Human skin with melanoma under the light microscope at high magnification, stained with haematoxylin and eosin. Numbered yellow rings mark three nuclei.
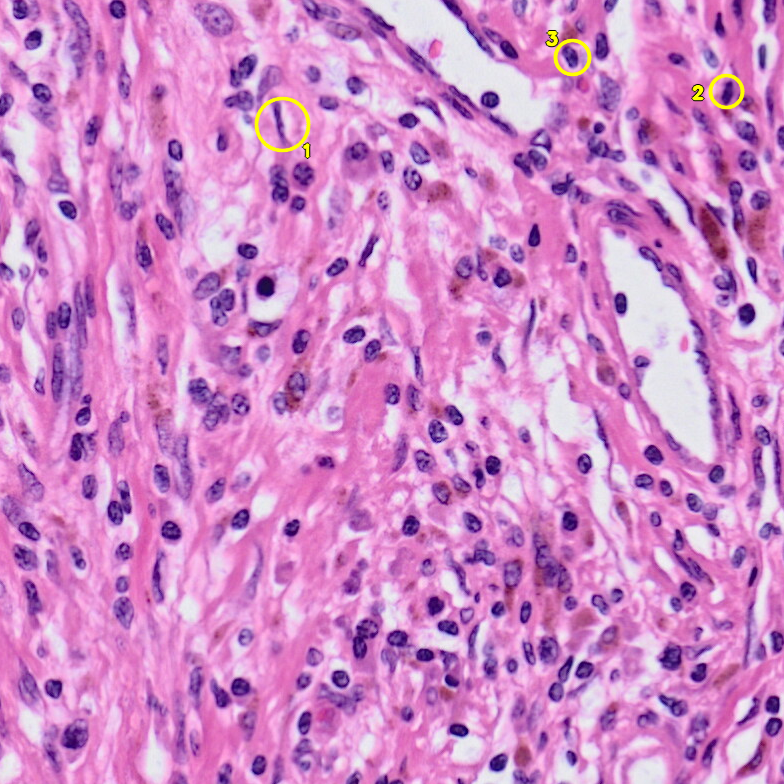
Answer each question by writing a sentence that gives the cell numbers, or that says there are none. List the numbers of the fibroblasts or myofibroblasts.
Of all the numbered cells, only one is a fibroblast or myofibroblast, and that is cell 1.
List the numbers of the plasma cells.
Only nucleus 2 belongs to a plasma cell; the other numbered nuclei do not.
